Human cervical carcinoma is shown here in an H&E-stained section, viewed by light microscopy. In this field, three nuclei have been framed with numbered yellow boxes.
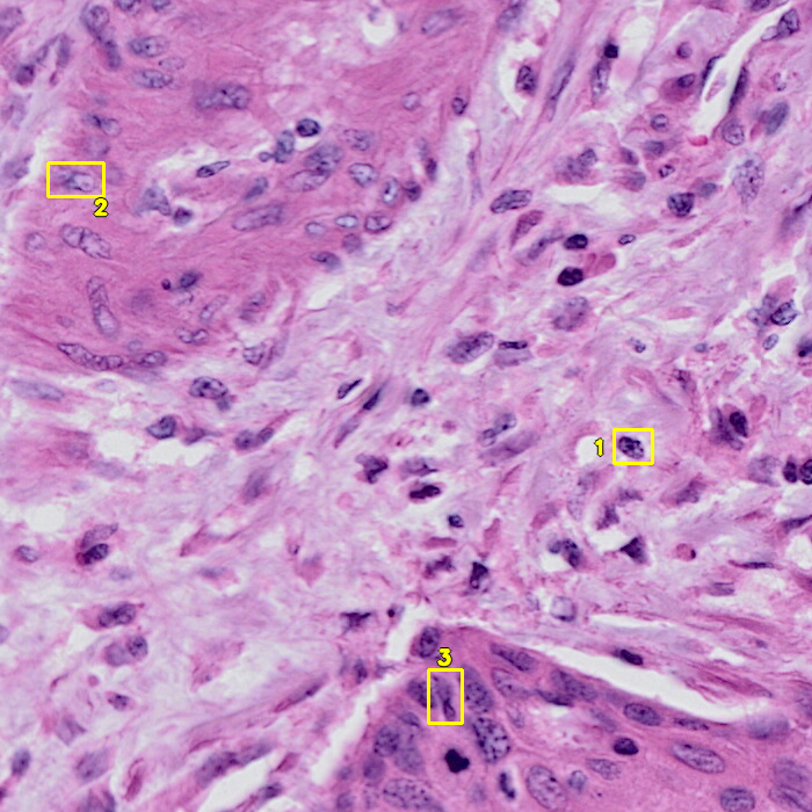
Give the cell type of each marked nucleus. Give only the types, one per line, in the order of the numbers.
lymphocyte
smooth muscle cell
squamous carcinoma cell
